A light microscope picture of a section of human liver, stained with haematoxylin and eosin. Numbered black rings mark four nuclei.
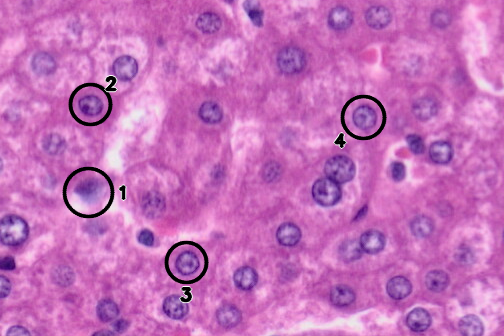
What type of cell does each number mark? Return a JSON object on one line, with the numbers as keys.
{"1": "endothelial cell", "2": "hepatocyte", "3": "hepatocyte", "4": "hepatocyte"}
